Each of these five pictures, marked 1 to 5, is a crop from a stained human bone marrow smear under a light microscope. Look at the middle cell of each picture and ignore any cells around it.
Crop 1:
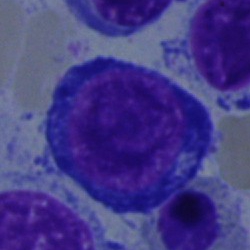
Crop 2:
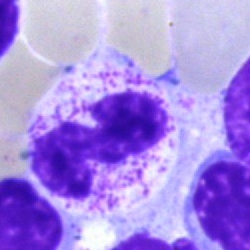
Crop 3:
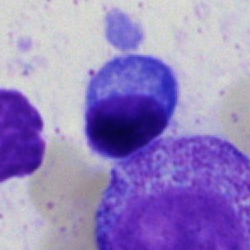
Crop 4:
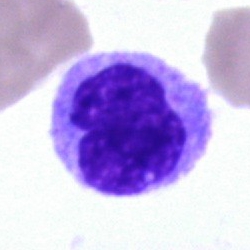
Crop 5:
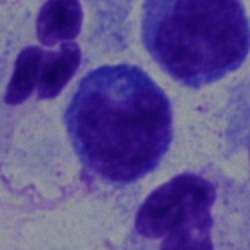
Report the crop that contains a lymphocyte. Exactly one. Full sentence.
Within this set, crop 5 is the one with a lymphocyte at its center.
